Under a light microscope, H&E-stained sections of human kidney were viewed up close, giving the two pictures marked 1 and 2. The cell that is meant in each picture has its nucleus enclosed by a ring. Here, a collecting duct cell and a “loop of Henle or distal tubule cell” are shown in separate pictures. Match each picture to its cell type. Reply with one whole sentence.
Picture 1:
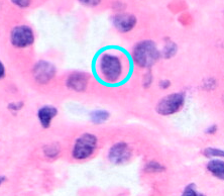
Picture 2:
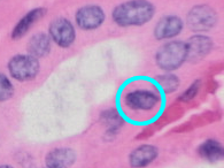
The cell in picture 1 is a “loop of Henle or distal tubule cell”, and the one in picture 2 is a collecting duct cell.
